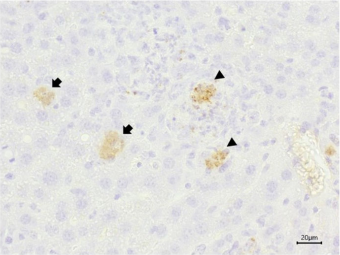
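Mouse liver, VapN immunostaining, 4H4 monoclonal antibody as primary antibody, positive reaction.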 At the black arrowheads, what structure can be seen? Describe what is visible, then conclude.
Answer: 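Microgranuloma. The arrowheads point to small focal clusters of cells within the liver parenchyma. The clusters contain brown granular material.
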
